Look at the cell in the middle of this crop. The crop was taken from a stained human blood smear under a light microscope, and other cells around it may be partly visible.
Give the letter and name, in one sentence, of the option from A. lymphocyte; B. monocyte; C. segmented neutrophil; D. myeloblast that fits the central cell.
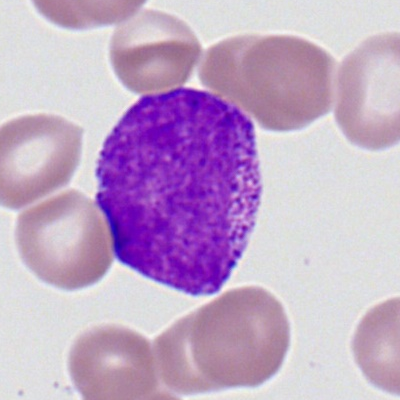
The middle of the crop holds a myeloblast, which points to option D.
